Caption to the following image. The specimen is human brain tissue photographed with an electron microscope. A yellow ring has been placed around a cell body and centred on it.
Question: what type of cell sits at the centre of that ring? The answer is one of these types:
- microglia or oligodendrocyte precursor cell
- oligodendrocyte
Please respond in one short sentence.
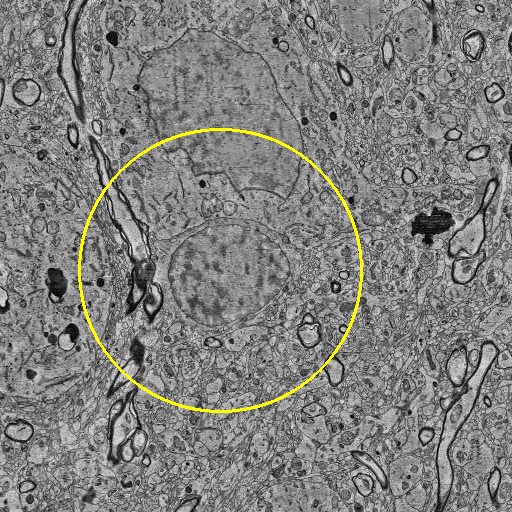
The ring surrounds the cell body of an oligodendrocyte.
